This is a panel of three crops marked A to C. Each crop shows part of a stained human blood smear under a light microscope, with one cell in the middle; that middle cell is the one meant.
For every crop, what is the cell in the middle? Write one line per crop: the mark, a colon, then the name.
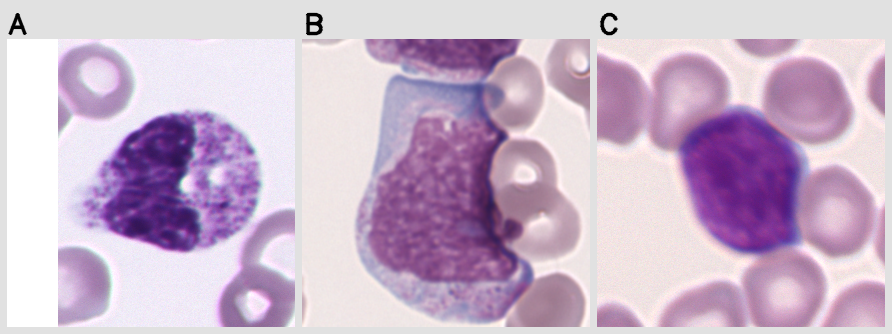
A: band neutrophil
B: atypical promyelocyte
C: myeloblast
